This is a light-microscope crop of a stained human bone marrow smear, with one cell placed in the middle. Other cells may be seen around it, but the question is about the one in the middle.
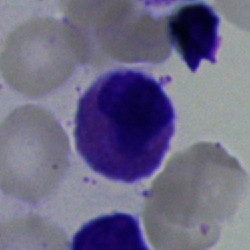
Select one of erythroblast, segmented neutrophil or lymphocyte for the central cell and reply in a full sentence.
The cell in the exact centre of the crop is a lymphocyte.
